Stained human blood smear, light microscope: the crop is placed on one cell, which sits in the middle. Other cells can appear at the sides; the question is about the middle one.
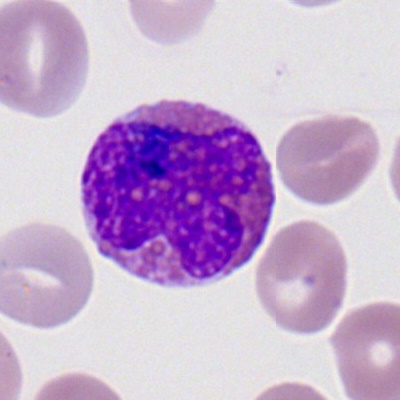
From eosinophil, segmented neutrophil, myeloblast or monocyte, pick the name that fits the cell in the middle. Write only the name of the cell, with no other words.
eosinophil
